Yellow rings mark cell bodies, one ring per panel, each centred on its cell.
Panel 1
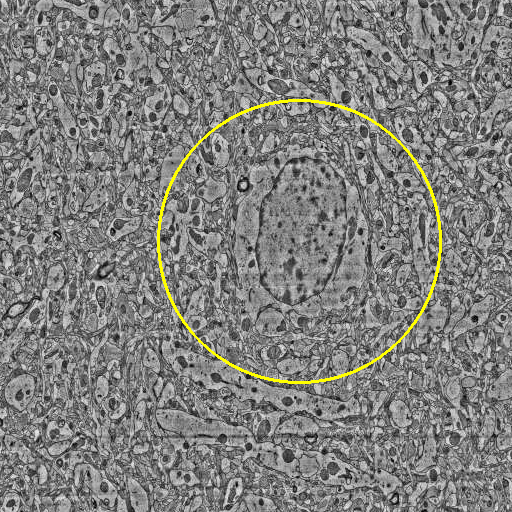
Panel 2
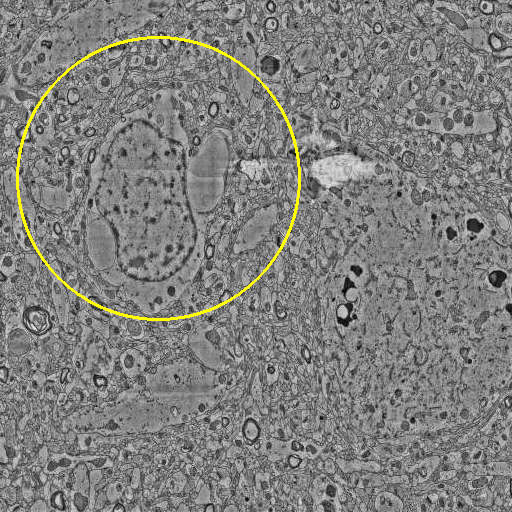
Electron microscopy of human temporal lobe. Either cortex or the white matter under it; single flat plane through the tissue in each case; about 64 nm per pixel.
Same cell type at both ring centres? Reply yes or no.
yes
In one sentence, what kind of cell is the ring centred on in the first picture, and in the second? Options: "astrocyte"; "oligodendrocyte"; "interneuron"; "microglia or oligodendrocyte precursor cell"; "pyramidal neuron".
In both pictures the ring is centred on an astrocyte.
